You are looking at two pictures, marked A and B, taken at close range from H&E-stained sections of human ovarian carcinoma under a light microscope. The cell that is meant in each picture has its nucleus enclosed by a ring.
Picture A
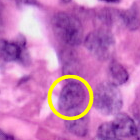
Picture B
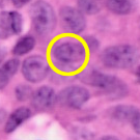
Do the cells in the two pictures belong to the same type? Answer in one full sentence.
Yes; the cells in both pictures are carcinoma cells.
